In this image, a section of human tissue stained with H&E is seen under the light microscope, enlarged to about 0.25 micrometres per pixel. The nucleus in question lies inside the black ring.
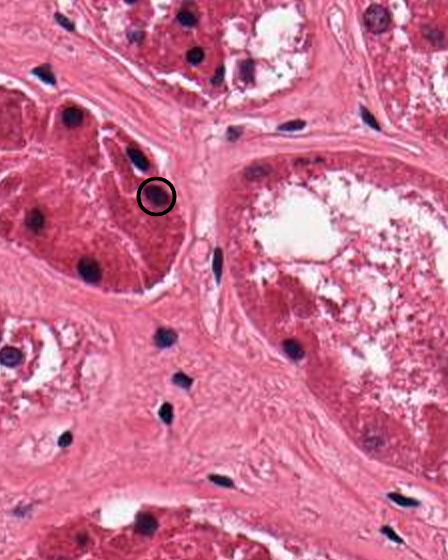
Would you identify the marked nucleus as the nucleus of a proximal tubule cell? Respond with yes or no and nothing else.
yes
